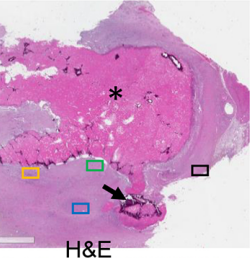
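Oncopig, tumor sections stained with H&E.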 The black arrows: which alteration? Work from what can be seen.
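Peripheral calcification. Dark purple, irregular, crusty deposits lie along the edge of the central area. The deposits sit at the border between the central area and surrounding tissue.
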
